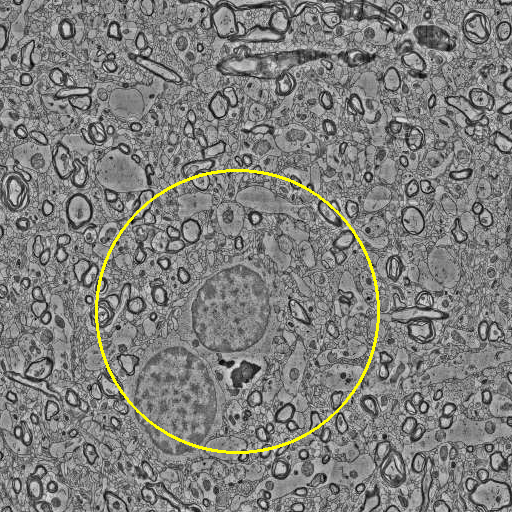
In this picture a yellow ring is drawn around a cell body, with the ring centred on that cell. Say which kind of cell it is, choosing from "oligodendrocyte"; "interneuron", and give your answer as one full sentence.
Here it is an oligodendrocyte that sits at the centre of the drawn yellow ring.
